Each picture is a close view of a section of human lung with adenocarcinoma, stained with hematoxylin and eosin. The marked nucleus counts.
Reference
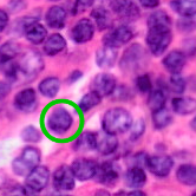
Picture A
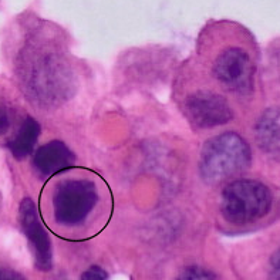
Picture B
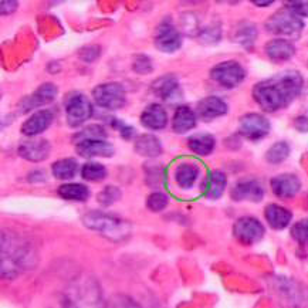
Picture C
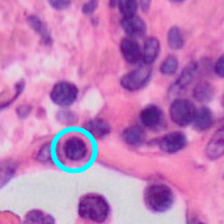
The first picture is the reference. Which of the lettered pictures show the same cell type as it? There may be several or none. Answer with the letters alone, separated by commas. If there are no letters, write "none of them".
B, C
